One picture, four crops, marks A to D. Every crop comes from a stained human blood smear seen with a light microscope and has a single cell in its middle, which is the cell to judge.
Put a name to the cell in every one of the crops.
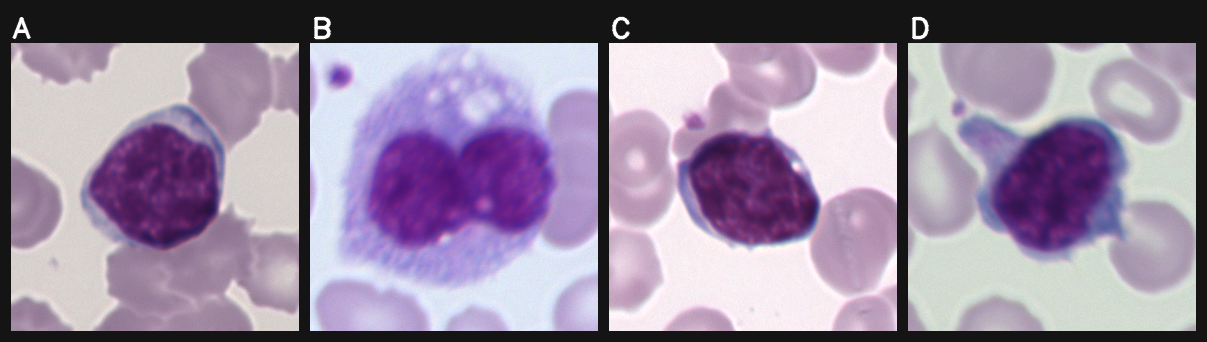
A: typical lymphocyte
B: monocyte
C: large granular lymphocyte
D: typical lymphocyte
